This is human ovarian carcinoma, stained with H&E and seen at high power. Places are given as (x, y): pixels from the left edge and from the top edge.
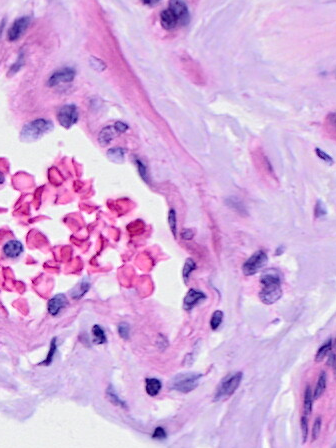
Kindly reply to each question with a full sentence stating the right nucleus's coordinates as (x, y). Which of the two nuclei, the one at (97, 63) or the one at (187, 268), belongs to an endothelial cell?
The nucleus at position (187, 268) belongs to an endothelial cell.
